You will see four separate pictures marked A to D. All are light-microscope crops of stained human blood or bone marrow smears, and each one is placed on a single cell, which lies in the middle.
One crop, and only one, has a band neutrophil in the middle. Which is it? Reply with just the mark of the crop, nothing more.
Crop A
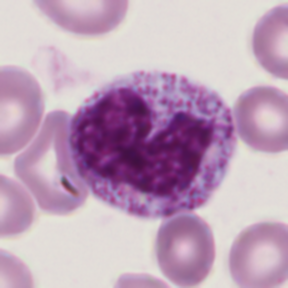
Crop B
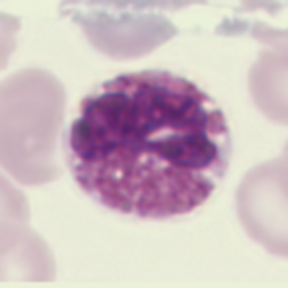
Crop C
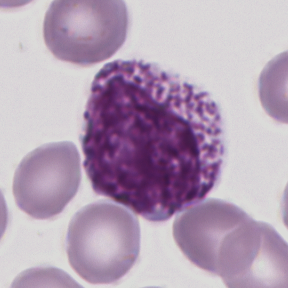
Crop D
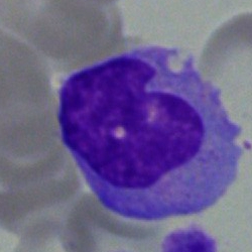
A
